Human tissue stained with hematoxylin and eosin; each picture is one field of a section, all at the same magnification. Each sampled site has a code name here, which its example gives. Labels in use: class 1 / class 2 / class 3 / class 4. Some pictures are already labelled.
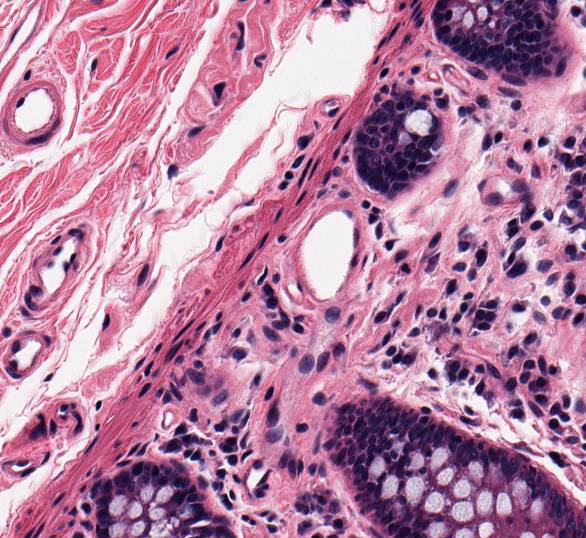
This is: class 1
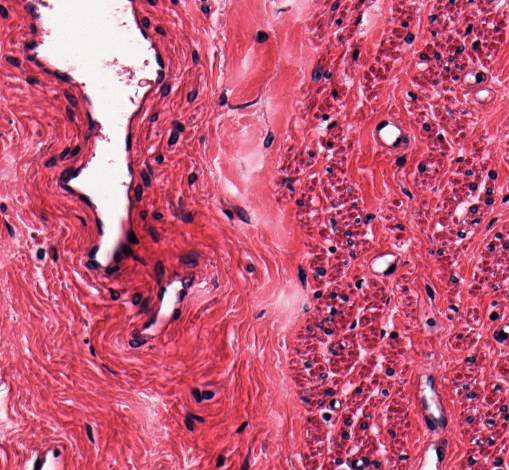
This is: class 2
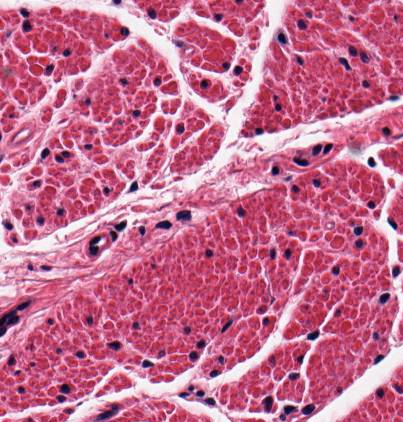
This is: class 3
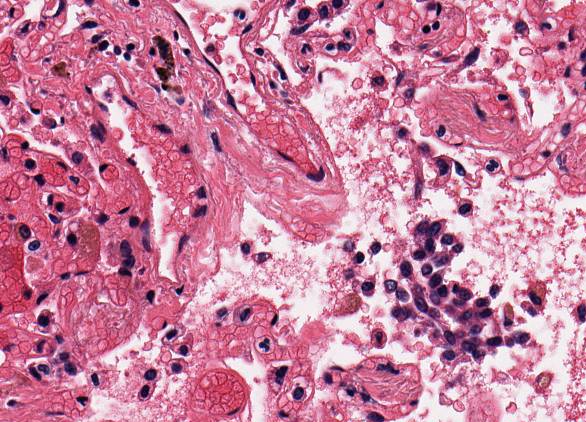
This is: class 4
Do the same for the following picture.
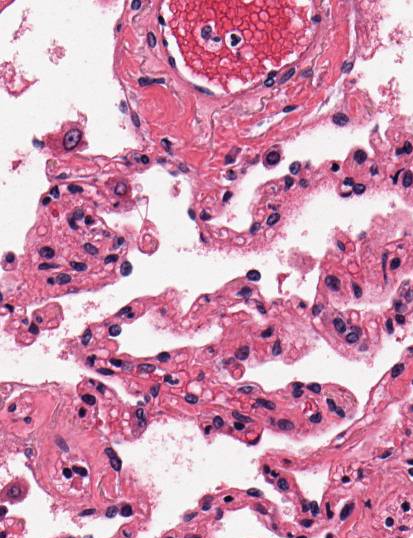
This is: class 4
